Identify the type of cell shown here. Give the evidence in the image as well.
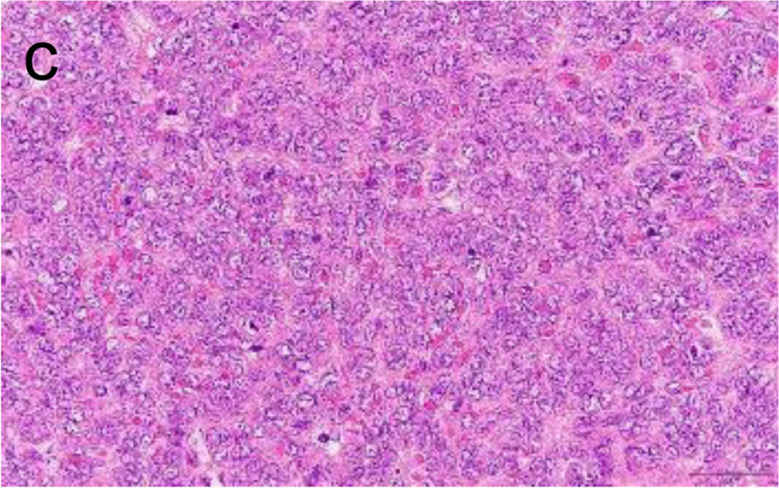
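Sheets of tightly packed cells with round to oval nuclei. Little intervening stroma between the cells. Cells are not drawn out into spindles. The answer: round cells.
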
